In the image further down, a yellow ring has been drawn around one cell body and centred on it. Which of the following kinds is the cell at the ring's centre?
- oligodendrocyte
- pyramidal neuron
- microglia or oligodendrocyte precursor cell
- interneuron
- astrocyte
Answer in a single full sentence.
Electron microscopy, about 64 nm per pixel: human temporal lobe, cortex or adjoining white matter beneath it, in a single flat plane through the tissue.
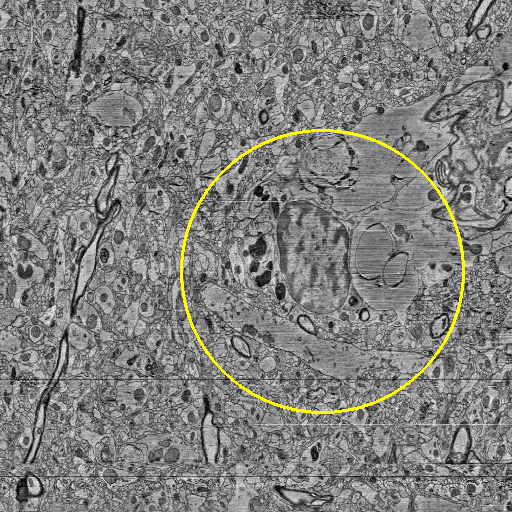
In the picture, the cell sitting at the centre of the yellow ring is a microglial cell or oligodendrocyte precursor cell.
